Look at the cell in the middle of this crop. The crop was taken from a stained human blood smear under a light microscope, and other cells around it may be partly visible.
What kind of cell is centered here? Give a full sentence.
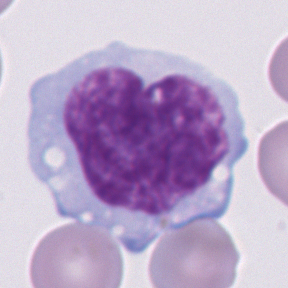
This crop's central cell is a myeloblast.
